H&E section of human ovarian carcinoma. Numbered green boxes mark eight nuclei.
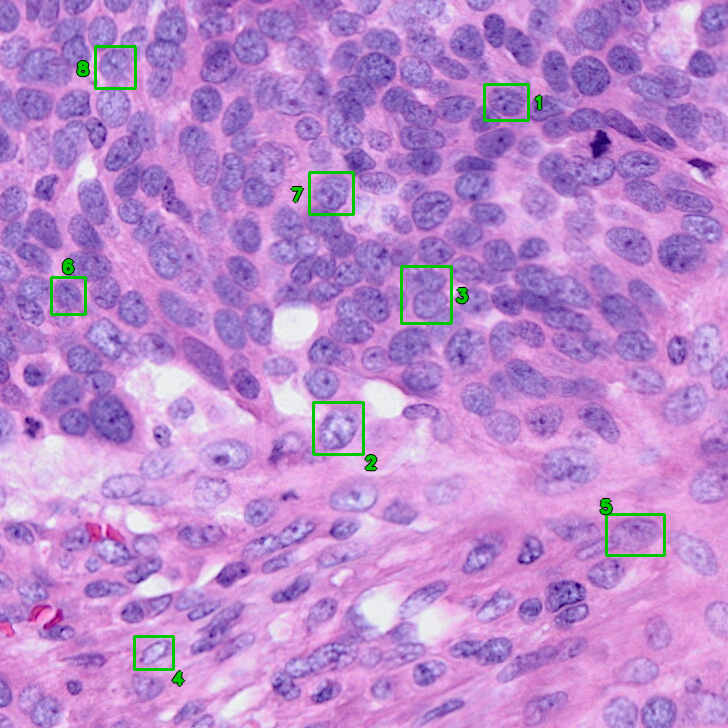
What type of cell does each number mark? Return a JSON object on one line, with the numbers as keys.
{"1": "carcinoma cell", "2": "fibroblast", "3": "carcinoma cell", "4": "fibroblast", "5": "fibroblast", "6": "carcinoma cell", "7": "carcinoma cell", "8": "carcinoma cell"}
